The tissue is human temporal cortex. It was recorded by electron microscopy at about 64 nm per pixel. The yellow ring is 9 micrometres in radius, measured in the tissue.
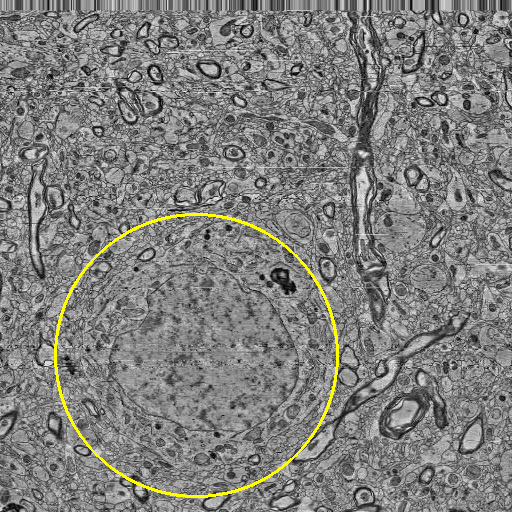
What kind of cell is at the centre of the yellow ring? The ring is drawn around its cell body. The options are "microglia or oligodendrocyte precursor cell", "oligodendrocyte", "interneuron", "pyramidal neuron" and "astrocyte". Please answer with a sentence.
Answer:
The yellow ring marks the cell body of an interneuron.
